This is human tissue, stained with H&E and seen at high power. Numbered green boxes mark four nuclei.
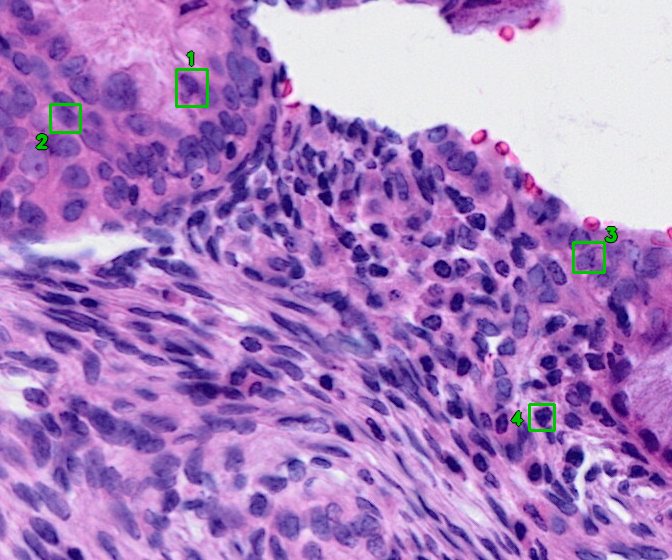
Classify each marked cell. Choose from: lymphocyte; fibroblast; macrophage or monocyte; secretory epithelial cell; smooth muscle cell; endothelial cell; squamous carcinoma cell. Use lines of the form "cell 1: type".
cell 1: secretory epithelial cell
cell 2: secretory epithelial cell
cell 3: secretory epithelial cell
cell 4: lymphocyte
